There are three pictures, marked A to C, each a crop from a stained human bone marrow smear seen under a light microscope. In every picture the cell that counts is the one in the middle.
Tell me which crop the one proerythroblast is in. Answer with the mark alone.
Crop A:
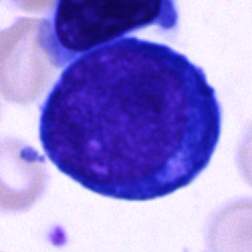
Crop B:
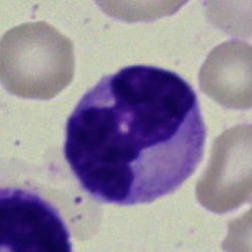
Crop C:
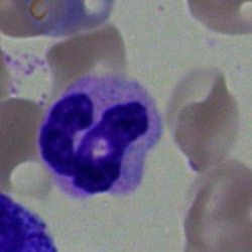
A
